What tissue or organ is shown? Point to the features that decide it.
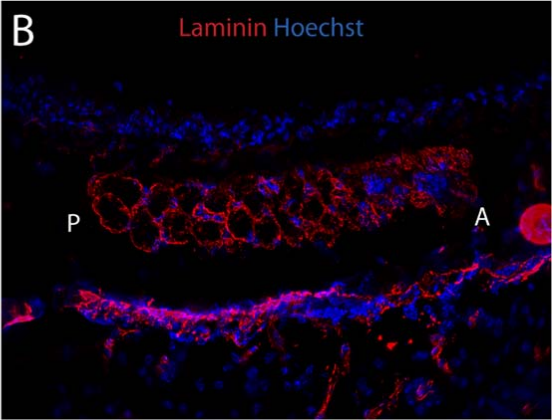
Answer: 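Muscle. Each profile is enclosed by its own thin outline, as fibres cut across.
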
